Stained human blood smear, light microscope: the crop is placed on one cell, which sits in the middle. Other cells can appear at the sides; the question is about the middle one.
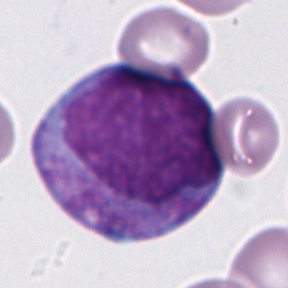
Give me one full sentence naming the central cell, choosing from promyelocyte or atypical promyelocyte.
The centrally placed cell is classified as a promyelocyte.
